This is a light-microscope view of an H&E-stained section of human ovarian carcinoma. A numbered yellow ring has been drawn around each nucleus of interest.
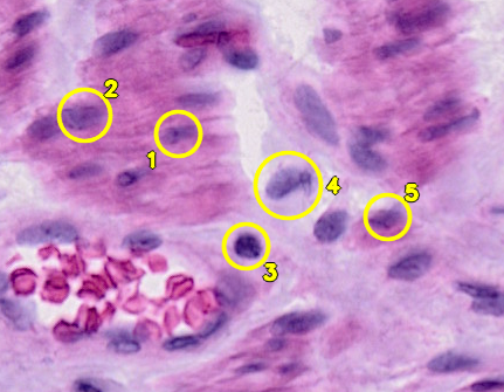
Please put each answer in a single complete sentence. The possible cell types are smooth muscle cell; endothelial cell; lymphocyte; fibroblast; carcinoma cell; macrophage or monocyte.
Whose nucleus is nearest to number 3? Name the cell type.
Number 3 lies closest to the nucleus of an endothelial cell.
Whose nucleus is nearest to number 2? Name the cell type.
Number 2 lies closest to the nucleus of a smooth muscle cell.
